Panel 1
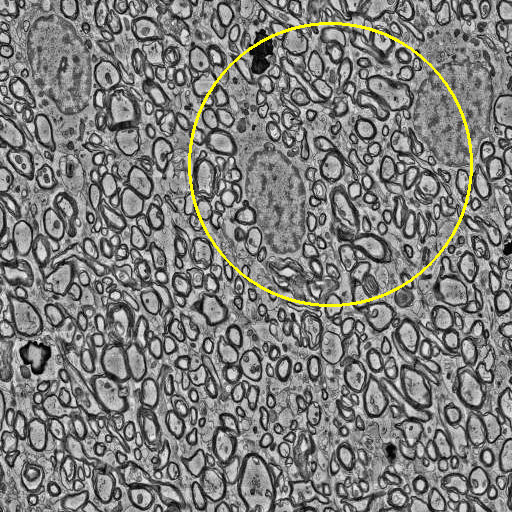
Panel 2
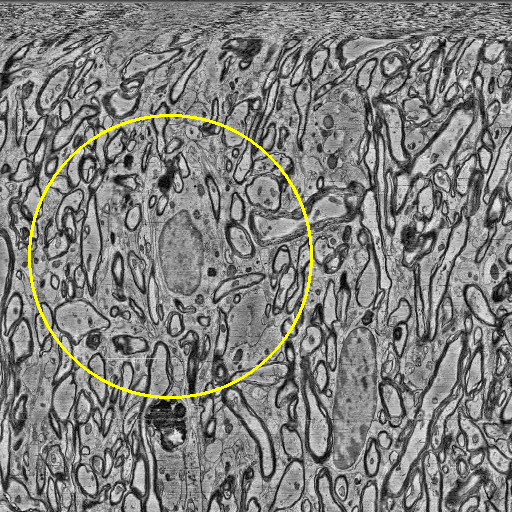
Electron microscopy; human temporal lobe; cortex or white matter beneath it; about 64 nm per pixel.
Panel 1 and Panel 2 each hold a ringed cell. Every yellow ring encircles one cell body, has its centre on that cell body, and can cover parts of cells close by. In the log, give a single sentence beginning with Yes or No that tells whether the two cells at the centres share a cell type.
Yes, in Panel 1 and Panel 2 the centred cells share a cell type.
